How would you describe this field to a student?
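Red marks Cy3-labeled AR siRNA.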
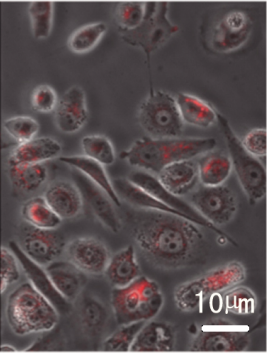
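The cells are flattened, rounded to polygonal or spindle-shaped, and loosely spread, many with bright halos at their edges. Each has a large round to oval nucleus holding one or a few dark, prominent nucleoli, surrounded by granular cytoplasm. The red fluorescence gathers as clumps and fine dots in the cytoplasm, often crowded to one side of the nucleus, and is bright in some cells and faint or absent in others. The spaces between cells are free of red.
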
